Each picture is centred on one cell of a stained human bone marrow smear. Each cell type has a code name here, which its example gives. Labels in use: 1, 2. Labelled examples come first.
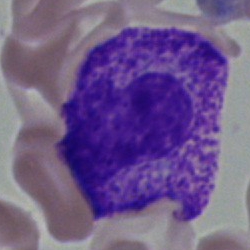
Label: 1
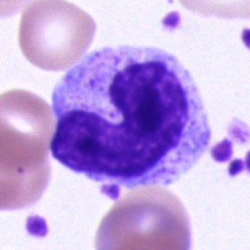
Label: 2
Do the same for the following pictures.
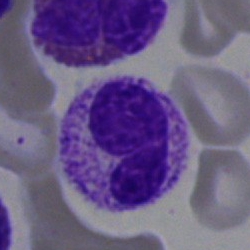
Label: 2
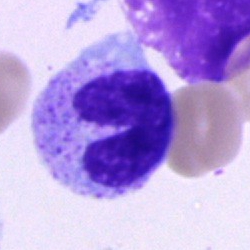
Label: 2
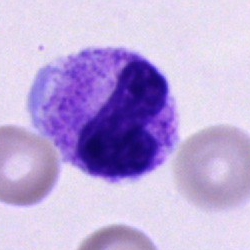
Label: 2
